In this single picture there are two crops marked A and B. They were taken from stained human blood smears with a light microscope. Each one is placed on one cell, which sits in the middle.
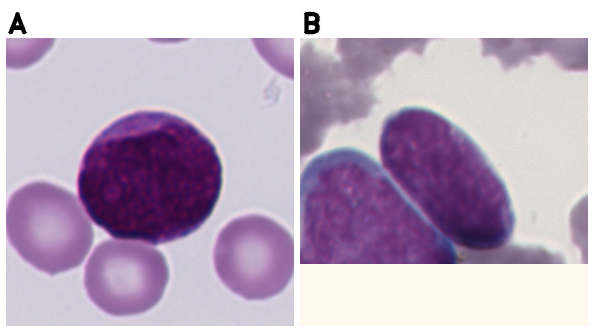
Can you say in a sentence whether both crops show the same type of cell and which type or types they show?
Yes, in the two crops, myeloblasts are the cells at the centre.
